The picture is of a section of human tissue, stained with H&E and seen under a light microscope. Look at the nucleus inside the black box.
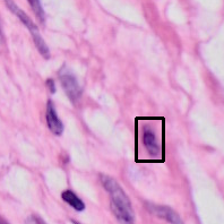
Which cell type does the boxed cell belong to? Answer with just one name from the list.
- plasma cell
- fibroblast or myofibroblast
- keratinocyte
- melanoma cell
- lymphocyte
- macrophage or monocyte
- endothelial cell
macrophage or monocyte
